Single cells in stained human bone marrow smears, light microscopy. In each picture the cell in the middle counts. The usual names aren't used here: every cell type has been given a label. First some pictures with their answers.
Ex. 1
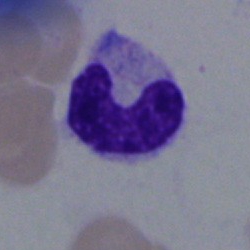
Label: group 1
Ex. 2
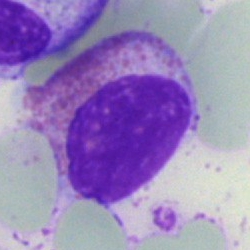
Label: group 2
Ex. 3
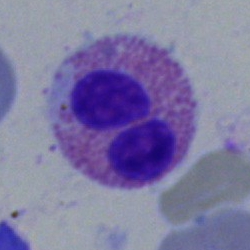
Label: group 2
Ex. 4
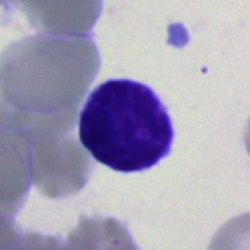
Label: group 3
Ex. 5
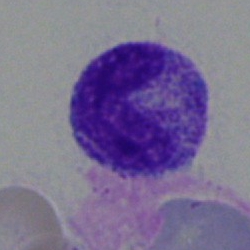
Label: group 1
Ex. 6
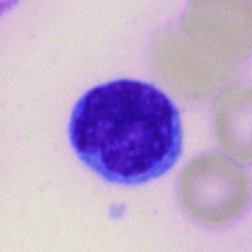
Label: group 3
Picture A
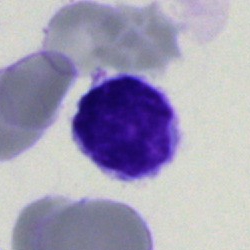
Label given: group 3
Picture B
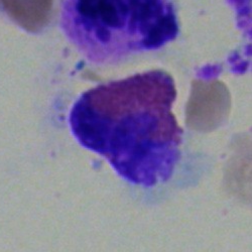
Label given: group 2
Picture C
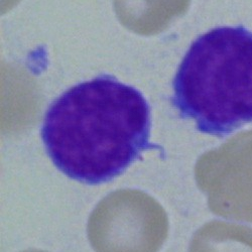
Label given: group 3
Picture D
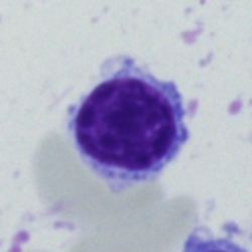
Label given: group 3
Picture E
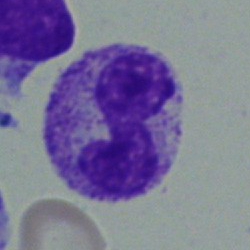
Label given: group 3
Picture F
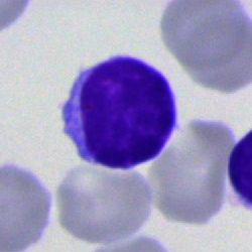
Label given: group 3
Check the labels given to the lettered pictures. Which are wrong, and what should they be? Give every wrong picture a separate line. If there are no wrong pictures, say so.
E should be group 1, not group 3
